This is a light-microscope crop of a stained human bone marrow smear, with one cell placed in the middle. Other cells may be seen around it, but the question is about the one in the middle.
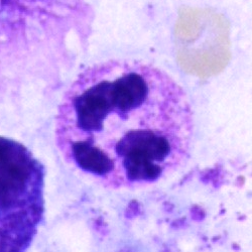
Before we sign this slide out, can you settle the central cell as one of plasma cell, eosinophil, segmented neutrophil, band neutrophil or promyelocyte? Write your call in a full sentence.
The cell under consideration, at the middle of the crop, is a segmented neutrophil.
